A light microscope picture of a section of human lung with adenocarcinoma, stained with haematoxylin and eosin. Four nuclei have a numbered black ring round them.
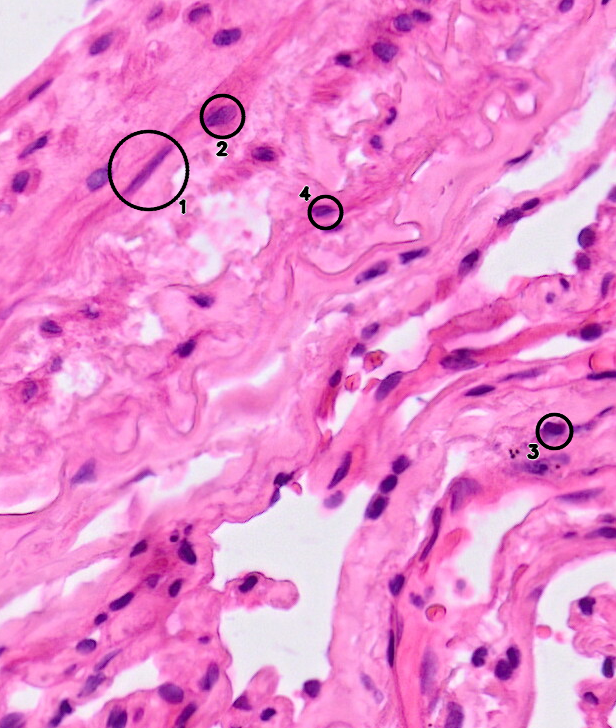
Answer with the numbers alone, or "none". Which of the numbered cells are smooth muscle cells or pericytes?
1, 2, 4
